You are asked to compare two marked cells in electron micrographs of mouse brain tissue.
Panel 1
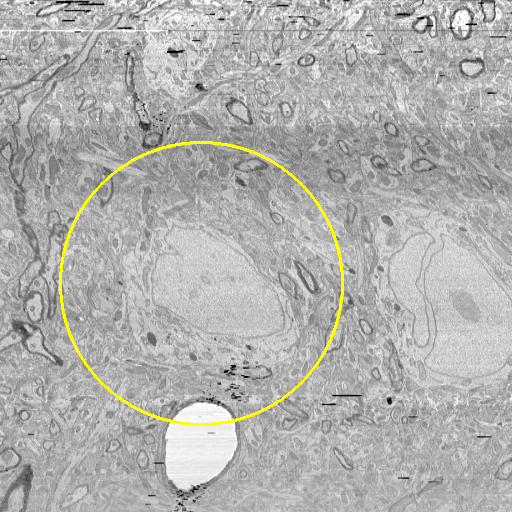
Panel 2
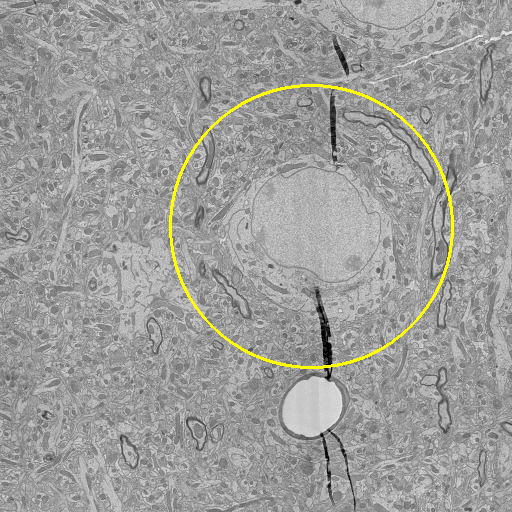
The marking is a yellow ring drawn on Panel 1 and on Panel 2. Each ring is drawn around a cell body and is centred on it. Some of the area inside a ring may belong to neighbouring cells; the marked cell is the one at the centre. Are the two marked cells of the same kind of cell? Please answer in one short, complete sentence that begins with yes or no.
No, the two marked cells are of two kinds.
